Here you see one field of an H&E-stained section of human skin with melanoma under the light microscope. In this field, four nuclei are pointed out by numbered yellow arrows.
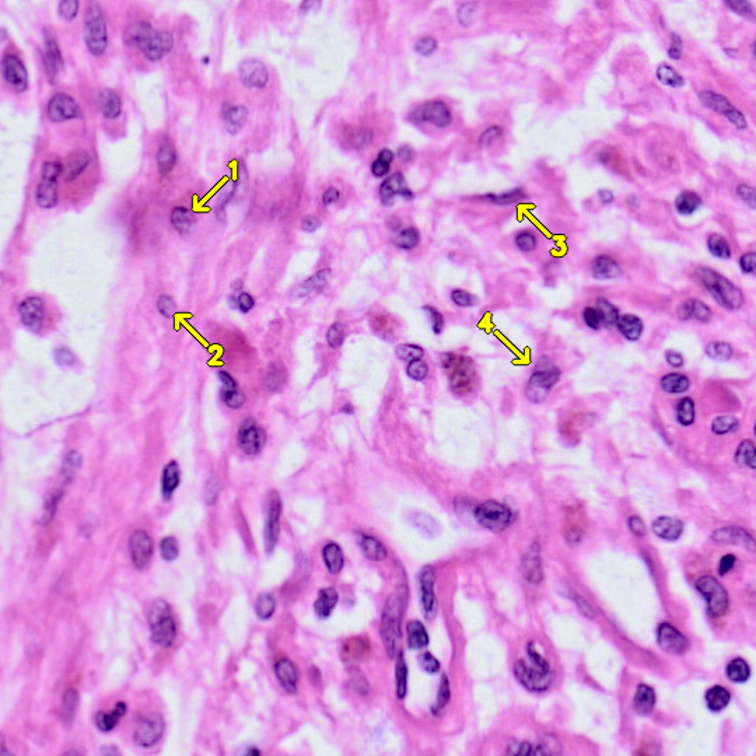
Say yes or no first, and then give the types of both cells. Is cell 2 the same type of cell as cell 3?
No, as for cell 2, it is a macrophage or monocyte, and cell 3 is a fibroblast or myofibroblast.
